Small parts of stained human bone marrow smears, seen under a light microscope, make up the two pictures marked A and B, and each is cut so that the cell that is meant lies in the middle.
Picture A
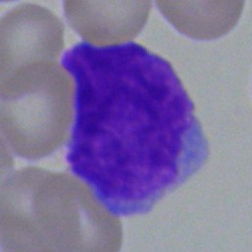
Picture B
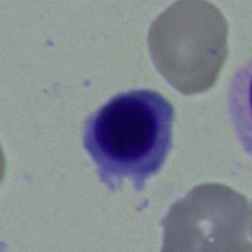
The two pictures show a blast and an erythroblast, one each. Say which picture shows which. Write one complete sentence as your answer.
It is picture A that shows a blast, and picture B that shows an erythroblast.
